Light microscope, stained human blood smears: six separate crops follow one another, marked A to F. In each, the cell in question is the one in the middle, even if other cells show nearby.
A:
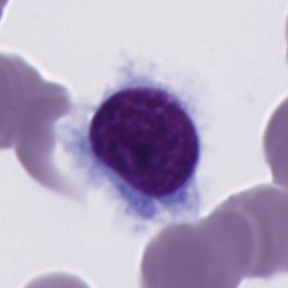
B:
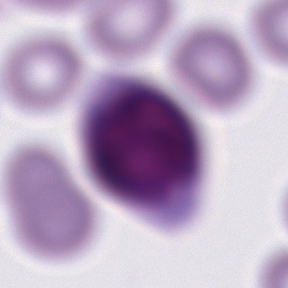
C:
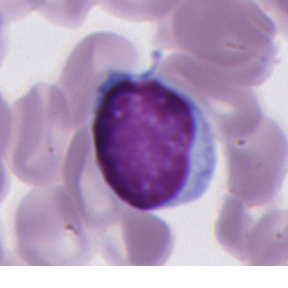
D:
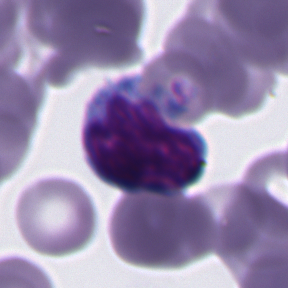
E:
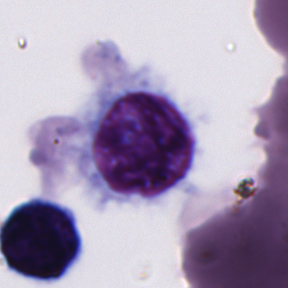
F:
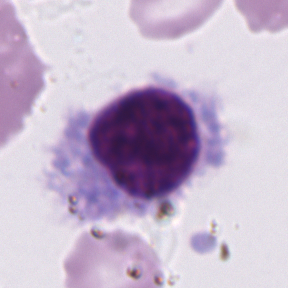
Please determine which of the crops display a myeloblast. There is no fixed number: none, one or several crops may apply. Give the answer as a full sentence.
Among all the crops, crop B is the only one to show a myeloblast.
